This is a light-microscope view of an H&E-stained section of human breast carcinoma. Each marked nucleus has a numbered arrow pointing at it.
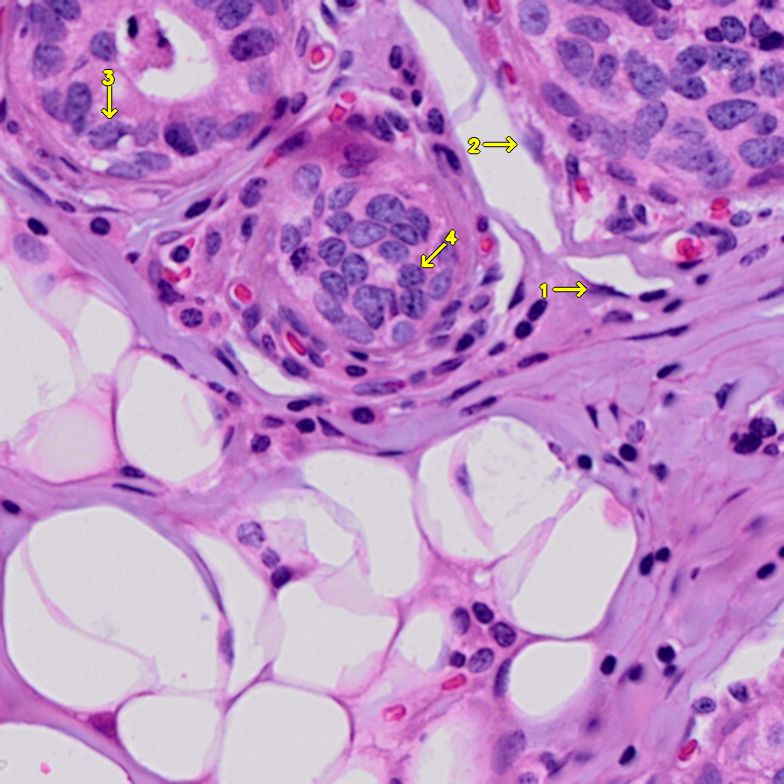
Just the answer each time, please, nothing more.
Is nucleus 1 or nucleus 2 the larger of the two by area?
2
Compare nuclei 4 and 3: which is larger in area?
3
